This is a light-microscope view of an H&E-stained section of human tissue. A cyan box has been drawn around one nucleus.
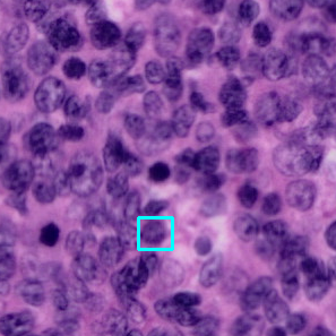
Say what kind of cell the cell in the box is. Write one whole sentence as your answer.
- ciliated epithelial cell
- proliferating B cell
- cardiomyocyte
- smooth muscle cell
As to its cell type, the cell in the box is a proliferating B cell.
